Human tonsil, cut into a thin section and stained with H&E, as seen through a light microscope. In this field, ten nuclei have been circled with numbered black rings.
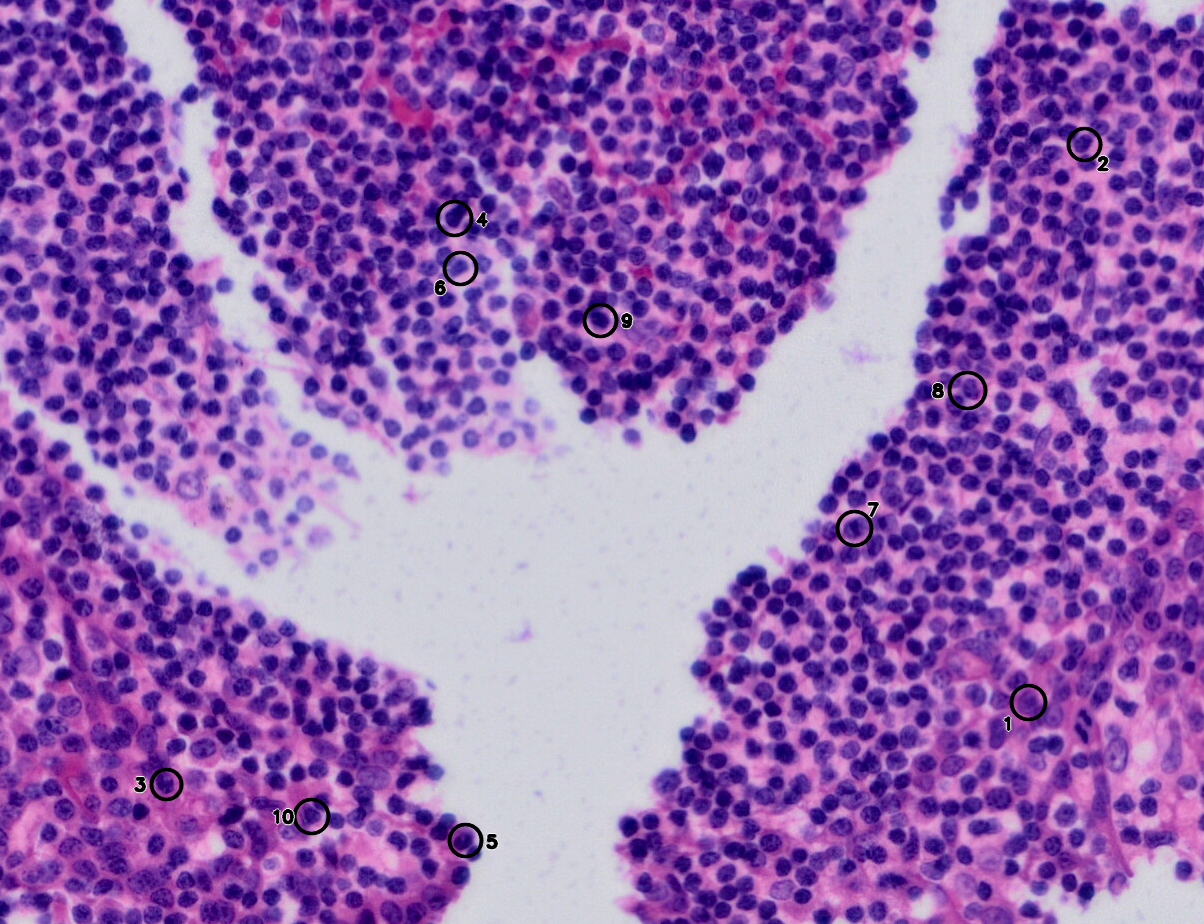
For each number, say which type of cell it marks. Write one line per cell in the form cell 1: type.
cell 1: squamous epithelial cell
cell 2: small lymphocyte
cell 3: plasma cell
cell 4: small lymphocyte
cell 5: plasma cell
cell 6: small lymphocyte
cell 7: small lymphocyte
cell 8: small lymphocyte
cell 9: small lymphocyte
cell 10: plasma cell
